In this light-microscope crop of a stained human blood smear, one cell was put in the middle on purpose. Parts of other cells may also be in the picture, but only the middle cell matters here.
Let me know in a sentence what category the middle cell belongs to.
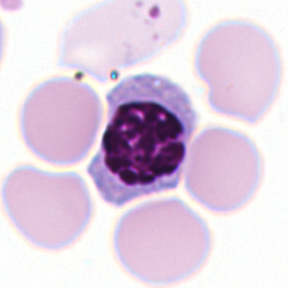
The cell in the middle of this crop is a normoblast.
